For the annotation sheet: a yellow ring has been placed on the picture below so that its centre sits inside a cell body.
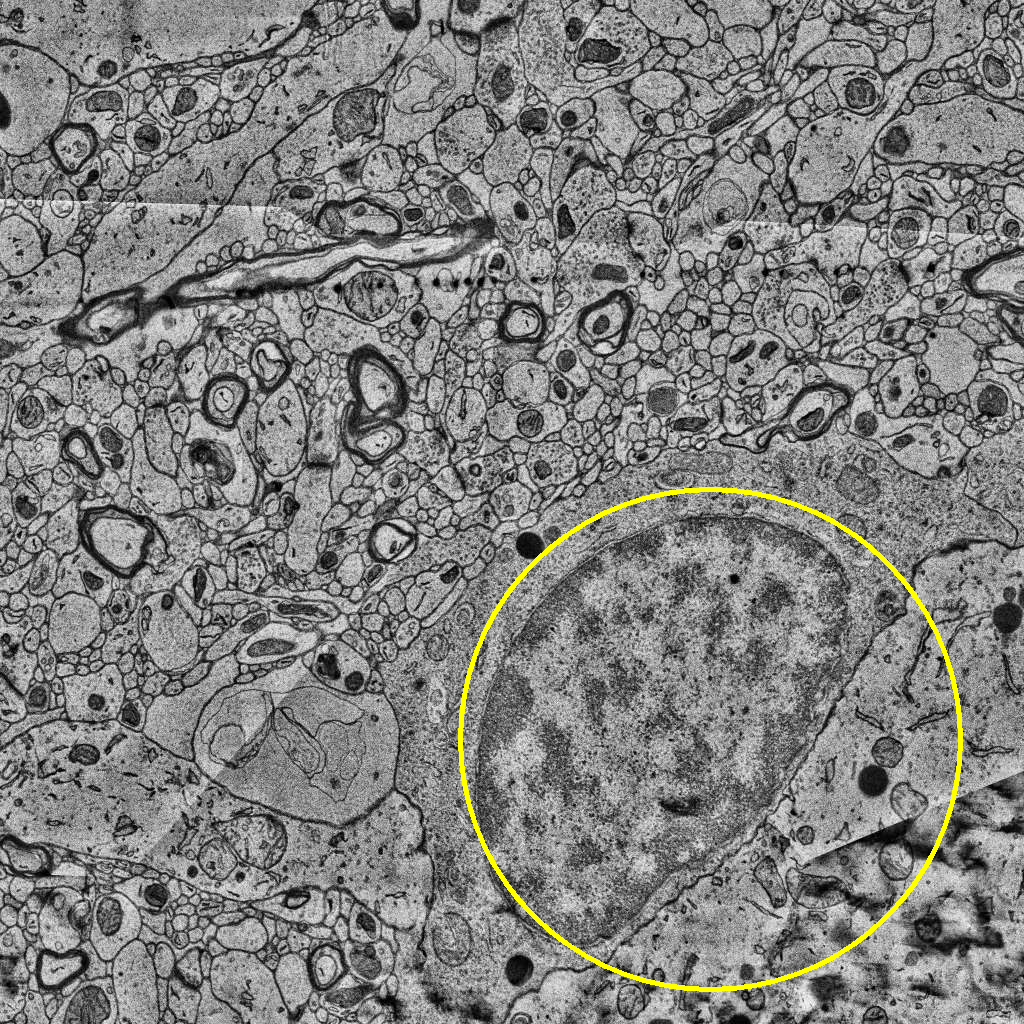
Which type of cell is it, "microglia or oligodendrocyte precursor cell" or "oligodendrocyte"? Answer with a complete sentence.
The cell at the ring's centre is an oligodendrocyte.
